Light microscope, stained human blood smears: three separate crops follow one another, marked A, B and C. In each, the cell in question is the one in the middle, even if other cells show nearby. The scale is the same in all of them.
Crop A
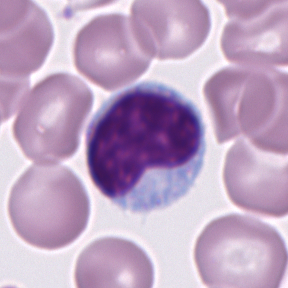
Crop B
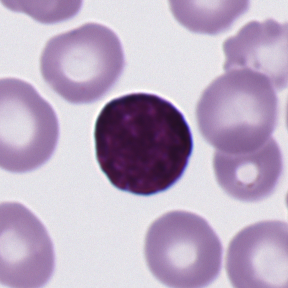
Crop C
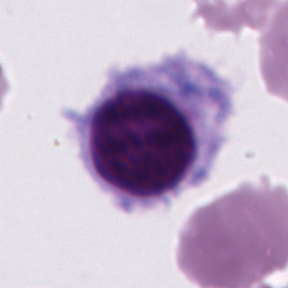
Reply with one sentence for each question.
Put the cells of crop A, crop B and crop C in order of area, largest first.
Going down, they run C, A, B.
